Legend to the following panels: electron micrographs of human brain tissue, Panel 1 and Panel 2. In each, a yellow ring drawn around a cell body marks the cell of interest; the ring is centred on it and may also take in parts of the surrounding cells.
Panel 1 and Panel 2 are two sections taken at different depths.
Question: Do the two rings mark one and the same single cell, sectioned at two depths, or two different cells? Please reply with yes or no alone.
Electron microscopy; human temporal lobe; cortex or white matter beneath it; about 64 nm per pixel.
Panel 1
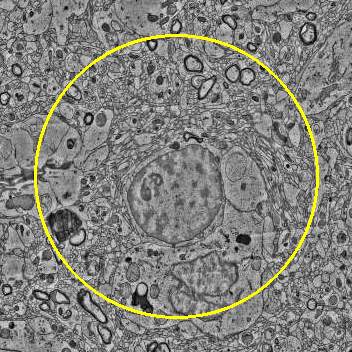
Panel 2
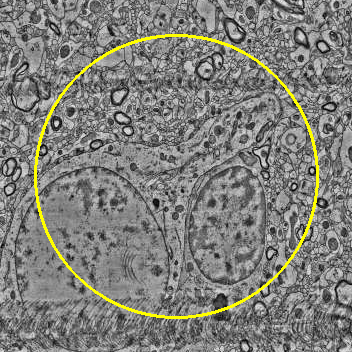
no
